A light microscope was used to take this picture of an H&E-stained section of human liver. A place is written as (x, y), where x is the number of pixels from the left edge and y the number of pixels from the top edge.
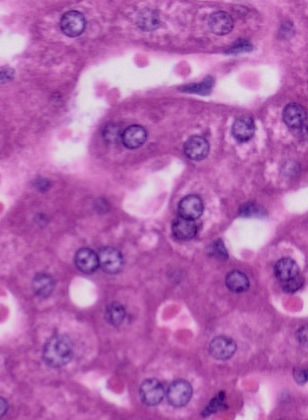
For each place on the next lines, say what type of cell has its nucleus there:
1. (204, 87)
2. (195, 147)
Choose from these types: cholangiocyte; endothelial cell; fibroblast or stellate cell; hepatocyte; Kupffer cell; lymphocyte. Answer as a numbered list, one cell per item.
1. Kupffer cell
2. hepatocyte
